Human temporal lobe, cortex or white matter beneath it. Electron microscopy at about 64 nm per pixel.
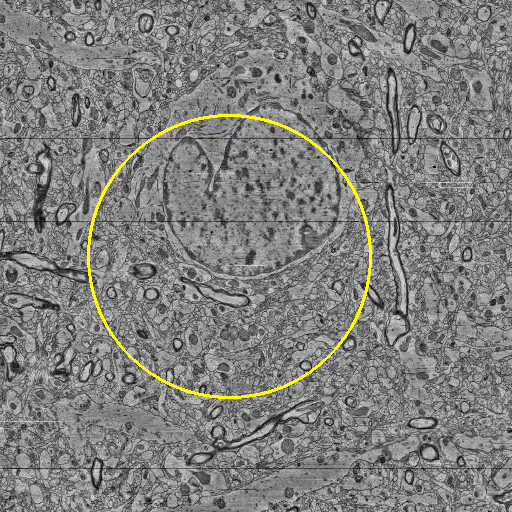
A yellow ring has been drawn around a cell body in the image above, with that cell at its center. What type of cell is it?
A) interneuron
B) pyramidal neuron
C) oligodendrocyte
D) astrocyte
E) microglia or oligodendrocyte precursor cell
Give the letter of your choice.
E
